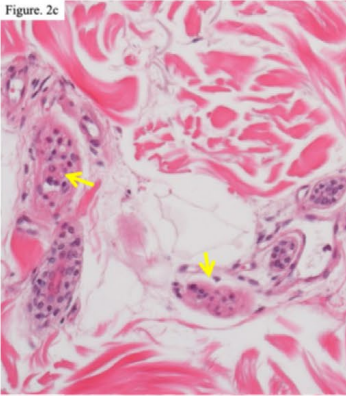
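Deep dermis with small clusters of sweat gland epithelium lying among thick, bright pink collagen bundles. The glandular cells have pink cytoplasm and round purple nuclei, packed into oval and tubular profiles with lumens that are hard to make out. Each cluster is outlined by a thin rim of surrounding tissue, separated from the collagen by clear spaces. A pale, loosely textured area lies between the clusters.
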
